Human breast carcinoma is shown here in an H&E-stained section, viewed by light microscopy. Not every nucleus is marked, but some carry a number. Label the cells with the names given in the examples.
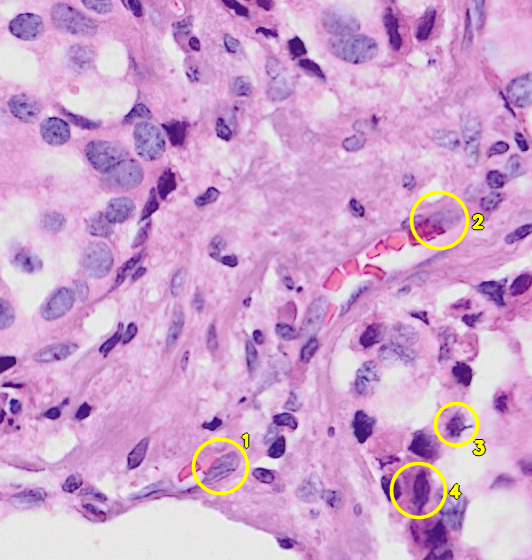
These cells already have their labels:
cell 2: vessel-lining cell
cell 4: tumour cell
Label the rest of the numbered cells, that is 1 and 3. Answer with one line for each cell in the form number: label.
1: vessel-lining cell
3: tumour cell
